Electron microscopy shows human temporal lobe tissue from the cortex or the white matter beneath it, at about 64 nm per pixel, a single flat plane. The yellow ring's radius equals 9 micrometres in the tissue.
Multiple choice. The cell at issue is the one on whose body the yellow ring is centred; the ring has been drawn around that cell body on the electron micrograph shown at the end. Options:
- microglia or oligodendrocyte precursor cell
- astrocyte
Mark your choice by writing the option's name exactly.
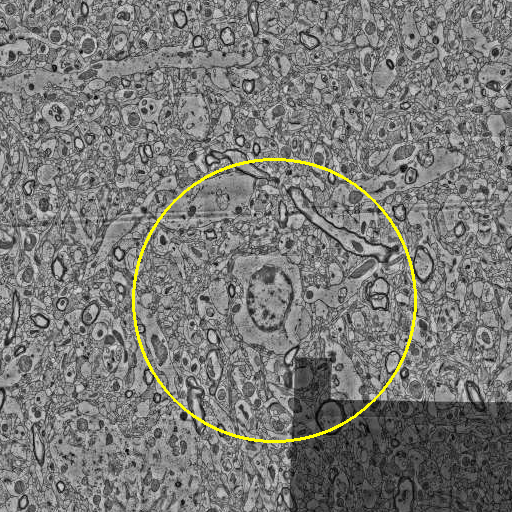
microglia or oligodendrocyte precursor cell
